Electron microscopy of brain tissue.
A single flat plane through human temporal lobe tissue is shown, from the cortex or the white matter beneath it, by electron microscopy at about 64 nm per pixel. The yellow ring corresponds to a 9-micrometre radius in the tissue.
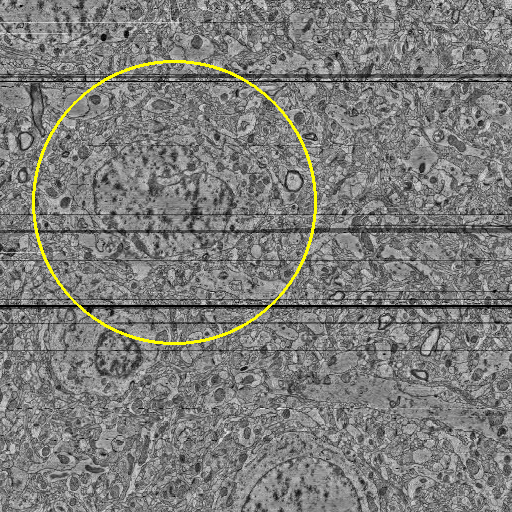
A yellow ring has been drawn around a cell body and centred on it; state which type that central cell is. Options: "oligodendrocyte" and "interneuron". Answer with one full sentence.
The cell at the middle of the yellow ring is an interneuron in this picture.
